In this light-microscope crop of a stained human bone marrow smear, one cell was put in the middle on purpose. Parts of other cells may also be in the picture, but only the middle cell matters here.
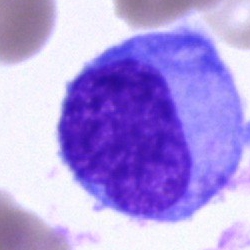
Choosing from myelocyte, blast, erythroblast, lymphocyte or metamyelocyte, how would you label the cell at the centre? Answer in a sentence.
Within this crop, a blast occupies the central position.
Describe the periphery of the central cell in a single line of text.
Smooth outline, no projections: that is the whole story of its edge.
